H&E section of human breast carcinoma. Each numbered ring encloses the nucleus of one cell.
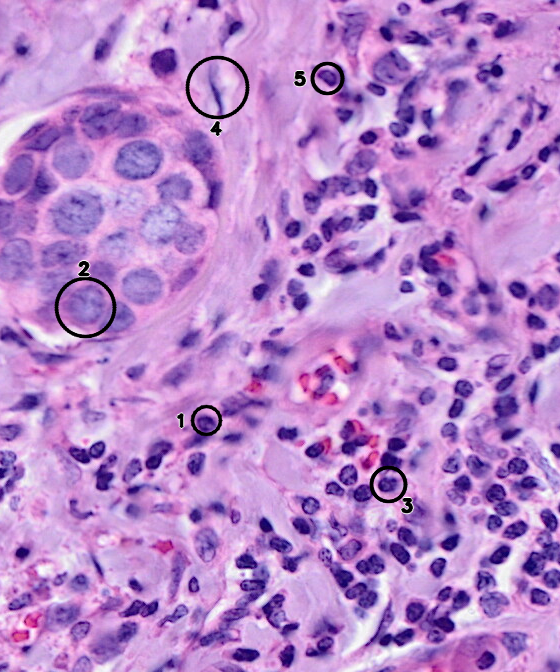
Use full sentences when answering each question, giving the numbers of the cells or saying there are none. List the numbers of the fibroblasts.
Only the cell numbered 4 is a fibroblast, and the others are something else.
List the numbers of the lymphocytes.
Cells 1, 3 and 5 in the section are typed as lymphocytes.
